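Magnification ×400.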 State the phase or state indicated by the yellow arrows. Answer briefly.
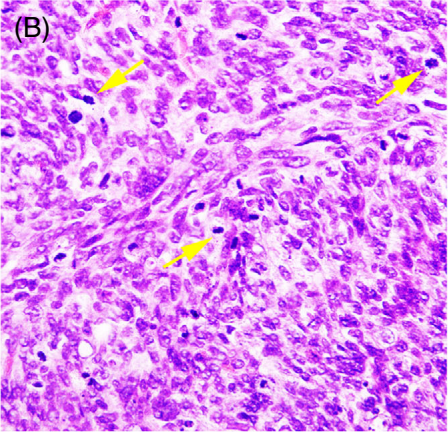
Mitoses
